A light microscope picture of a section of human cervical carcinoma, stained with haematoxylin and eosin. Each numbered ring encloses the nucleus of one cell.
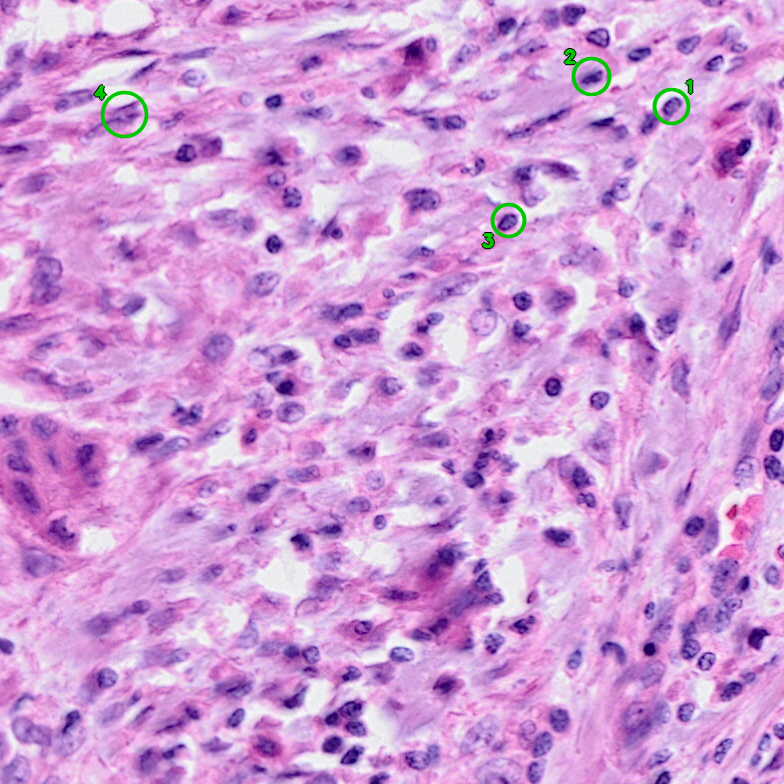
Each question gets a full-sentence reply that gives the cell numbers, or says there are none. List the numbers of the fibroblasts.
Cell 4 is a fibroblast; every other numbered cell is something else.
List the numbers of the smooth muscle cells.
Of the numbered cells, none can be classed as smooth muscle cells.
